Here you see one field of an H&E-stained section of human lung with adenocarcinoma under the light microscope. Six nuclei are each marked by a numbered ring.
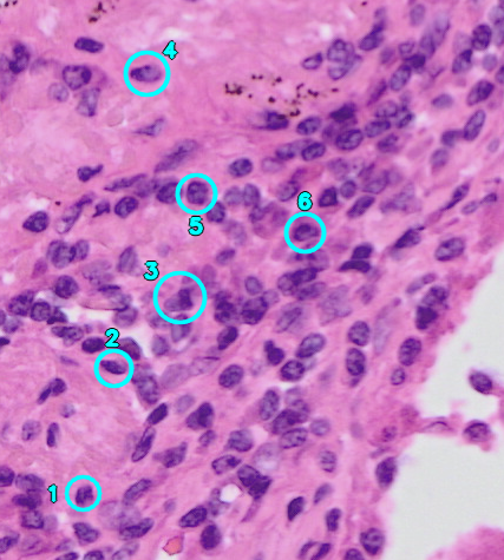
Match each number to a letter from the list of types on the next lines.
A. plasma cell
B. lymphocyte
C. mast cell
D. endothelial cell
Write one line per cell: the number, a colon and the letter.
1: B
2: B
3: B
4: C
5: B
6: A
